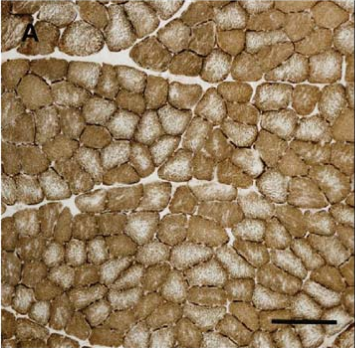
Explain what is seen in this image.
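This is a cross-section of muscle, with fibers cut across as closely packed polygonal profiles, gathered into bundles divided by thin pale clefts. The reaction product is brown, and the fibers differ in intensity: some are uniformly darker, while others are paler, especially in their centres.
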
